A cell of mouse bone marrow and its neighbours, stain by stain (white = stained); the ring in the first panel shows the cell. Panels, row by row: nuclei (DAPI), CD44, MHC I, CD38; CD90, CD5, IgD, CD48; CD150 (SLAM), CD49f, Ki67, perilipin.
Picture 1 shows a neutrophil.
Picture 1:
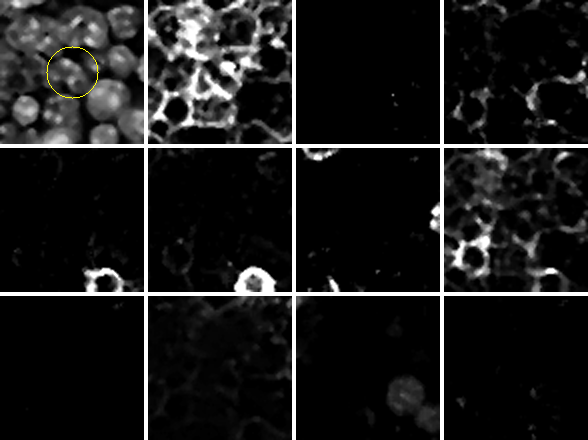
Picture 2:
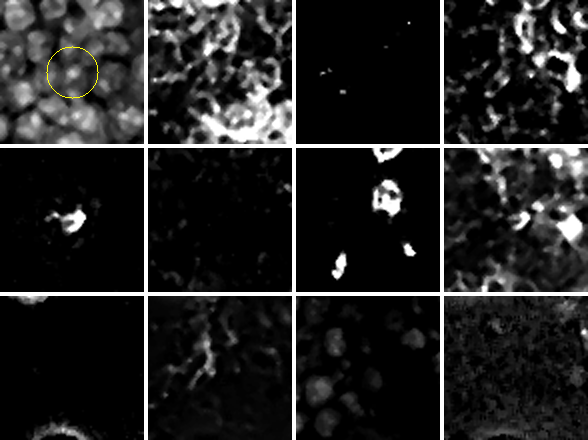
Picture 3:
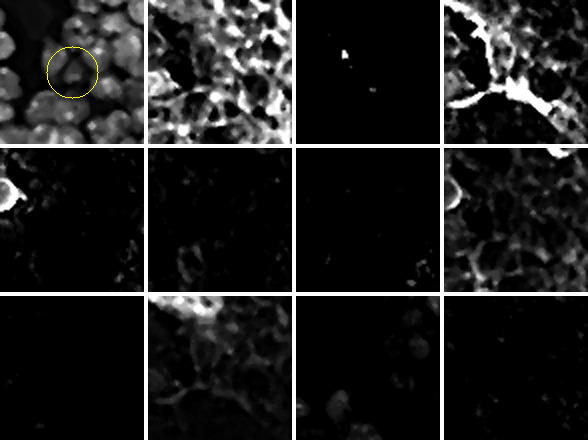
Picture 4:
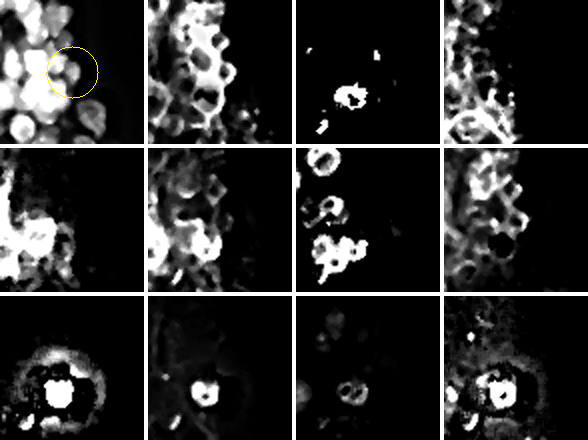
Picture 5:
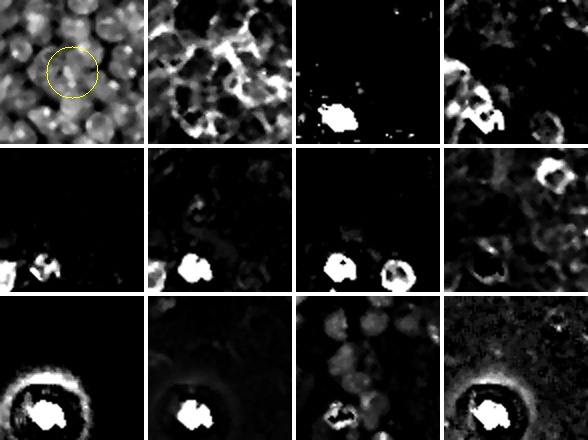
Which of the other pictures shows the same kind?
Picture 3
